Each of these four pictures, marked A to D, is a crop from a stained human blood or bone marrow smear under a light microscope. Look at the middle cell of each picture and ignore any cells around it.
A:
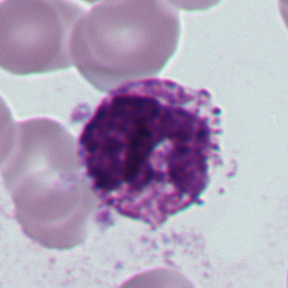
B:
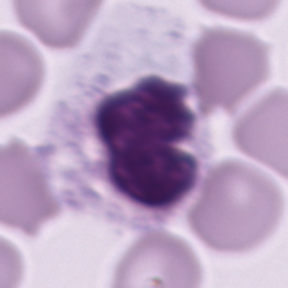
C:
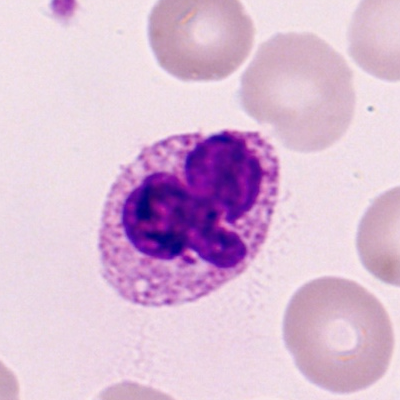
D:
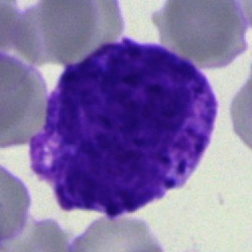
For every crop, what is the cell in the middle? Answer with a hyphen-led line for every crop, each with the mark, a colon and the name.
- A: basophil
- B: segmented neutrophil
- C: basophil
- D: basophil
